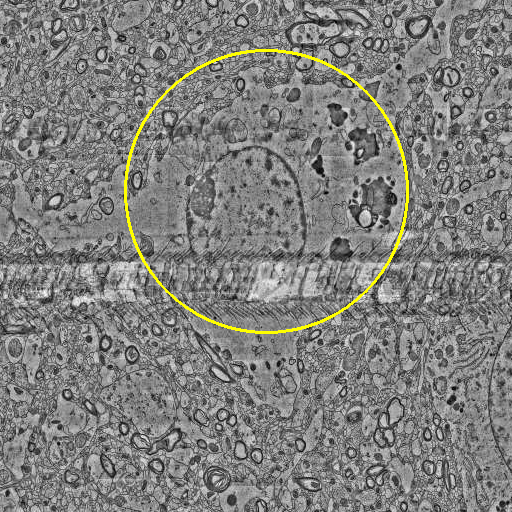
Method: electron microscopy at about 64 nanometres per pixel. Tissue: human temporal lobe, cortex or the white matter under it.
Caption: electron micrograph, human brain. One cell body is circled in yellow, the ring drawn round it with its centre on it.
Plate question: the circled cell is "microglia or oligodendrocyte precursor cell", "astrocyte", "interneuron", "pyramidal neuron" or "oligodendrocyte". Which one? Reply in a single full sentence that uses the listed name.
The yellow ring on the plate is centred on an astrocyte, going by the listed names.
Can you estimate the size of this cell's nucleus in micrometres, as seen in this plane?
In this plane the nucleus measures roughly 10 by 8 micrometers.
